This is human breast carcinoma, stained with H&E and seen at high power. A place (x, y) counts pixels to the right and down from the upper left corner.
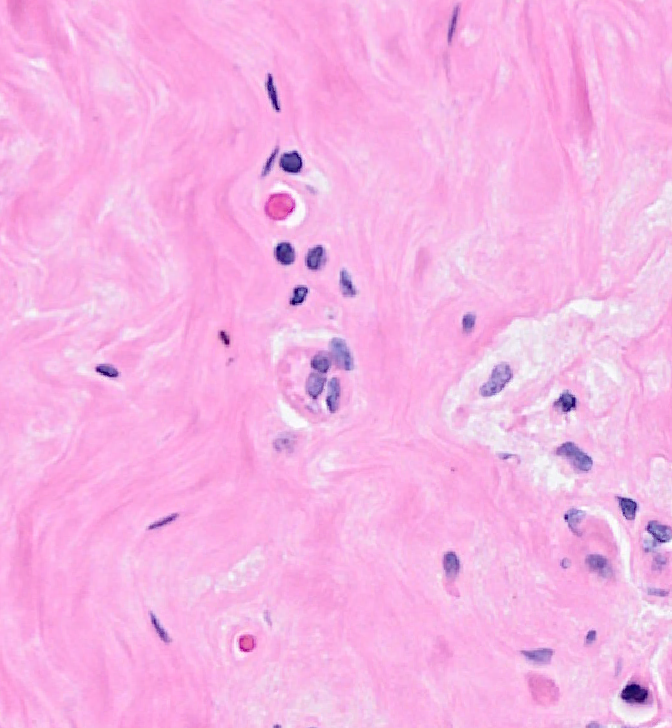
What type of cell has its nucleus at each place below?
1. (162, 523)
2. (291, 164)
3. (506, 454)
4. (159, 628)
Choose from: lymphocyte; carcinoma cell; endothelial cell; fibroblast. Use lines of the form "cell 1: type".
cell 1: fibroblast
cell 2: lymphocyte
cell 3: fibroblast
cell 4: fibroblast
